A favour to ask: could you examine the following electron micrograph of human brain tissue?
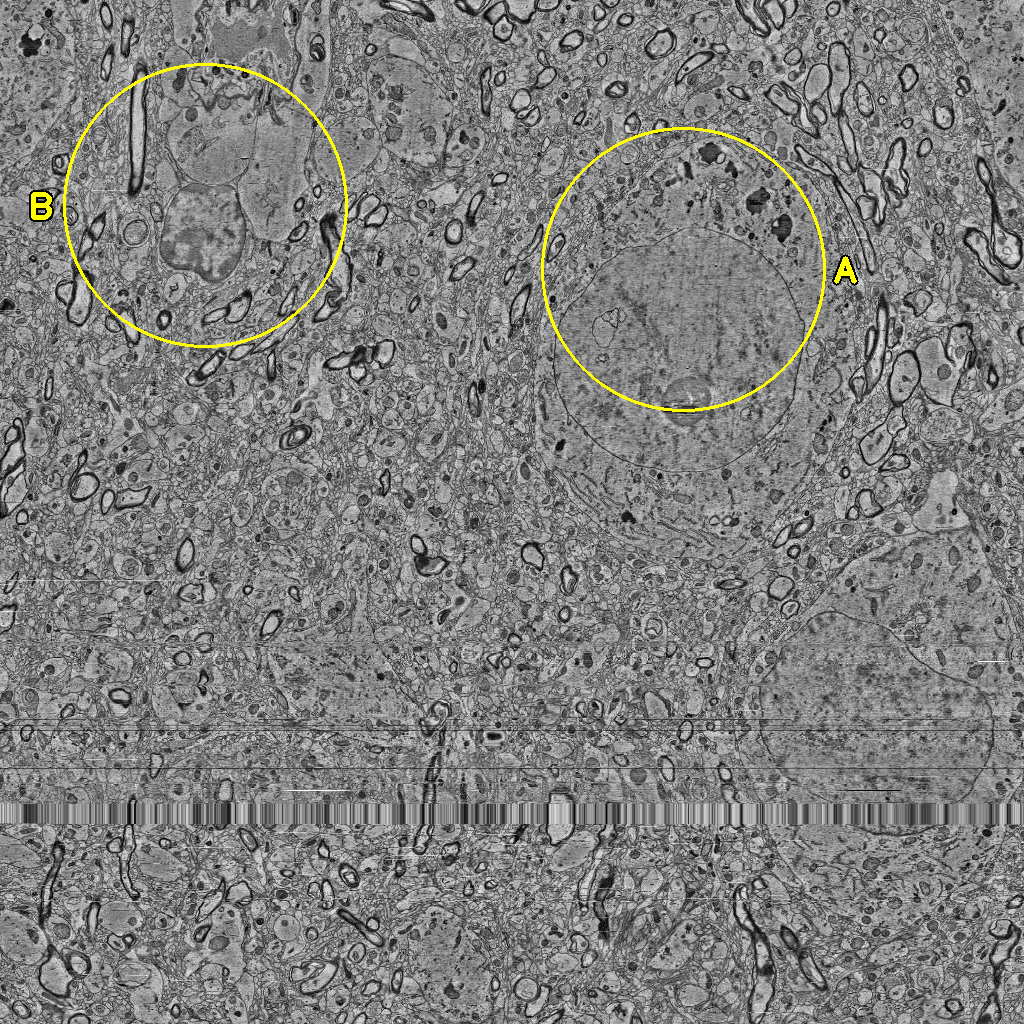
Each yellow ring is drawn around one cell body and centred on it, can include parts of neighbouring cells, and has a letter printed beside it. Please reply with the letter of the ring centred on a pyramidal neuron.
A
